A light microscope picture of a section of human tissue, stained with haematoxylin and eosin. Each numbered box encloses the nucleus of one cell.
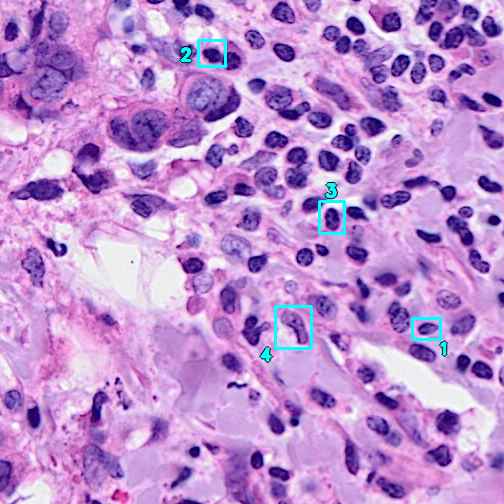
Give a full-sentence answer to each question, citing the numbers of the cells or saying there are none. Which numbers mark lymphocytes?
The cells picked out by numbers 1, 2 and 3 are lymphocytes.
